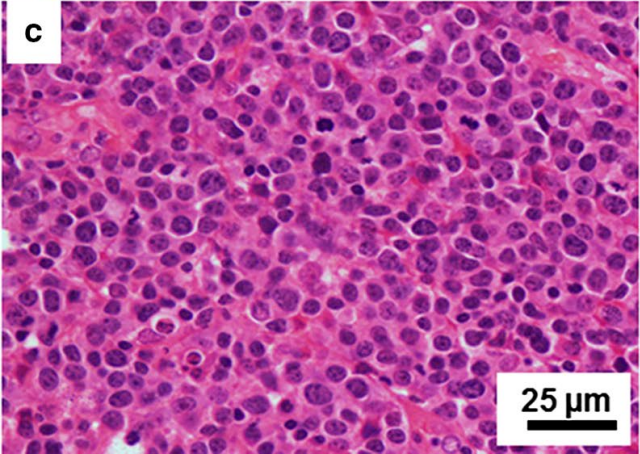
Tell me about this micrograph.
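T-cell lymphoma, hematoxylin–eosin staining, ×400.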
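This is a dense sheet of medium- to large-sized polymorphic tumor cells with strongly pink-stained background. The cells are packed closely with little stroma between them, and thin pink strands run across the field. Several cells are surrounded by a thin clear halo separating them from their neighbours. A few cells near the centre show dark, clumped chromatin consistent with mitotic figures.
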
